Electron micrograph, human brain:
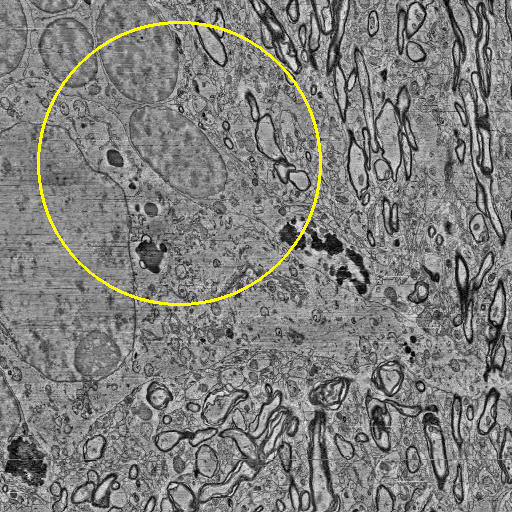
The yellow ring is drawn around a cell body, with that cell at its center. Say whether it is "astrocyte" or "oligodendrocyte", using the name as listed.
oligodendrocyte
